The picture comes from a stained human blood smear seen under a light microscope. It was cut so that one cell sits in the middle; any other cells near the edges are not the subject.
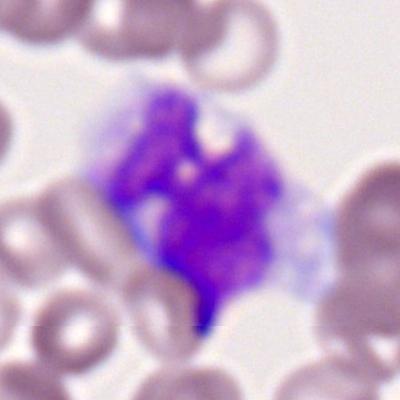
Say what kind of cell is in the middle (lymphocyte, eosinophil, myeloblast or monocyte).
monocyte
